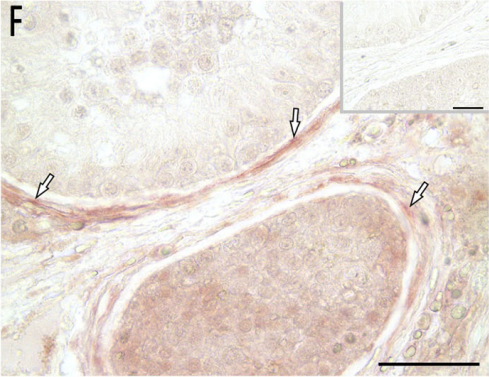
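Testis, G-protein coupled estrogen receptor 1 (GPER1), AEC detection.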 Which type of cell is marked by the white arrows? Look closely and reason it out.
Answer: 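The arrows point to flat, red-stained elongated cells encircling the tubules. On this evidence: peritubular myoid cells.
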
